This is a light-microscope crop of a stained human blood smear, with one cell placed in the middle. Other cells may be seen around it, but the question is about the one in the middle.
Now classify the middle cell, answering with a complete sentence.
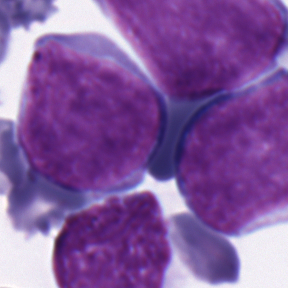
The cell in the middle of this crop is a myeloblast.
